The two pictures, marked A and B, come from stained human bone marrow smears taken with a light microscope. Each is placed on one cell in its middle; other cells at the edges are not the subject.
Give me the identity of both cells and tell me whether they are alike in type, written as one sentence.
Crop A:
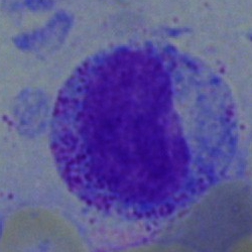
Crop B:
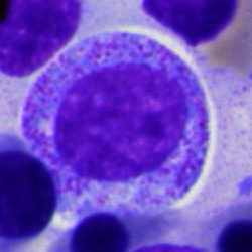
Yes, myelocytes are at the centre in both crops.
